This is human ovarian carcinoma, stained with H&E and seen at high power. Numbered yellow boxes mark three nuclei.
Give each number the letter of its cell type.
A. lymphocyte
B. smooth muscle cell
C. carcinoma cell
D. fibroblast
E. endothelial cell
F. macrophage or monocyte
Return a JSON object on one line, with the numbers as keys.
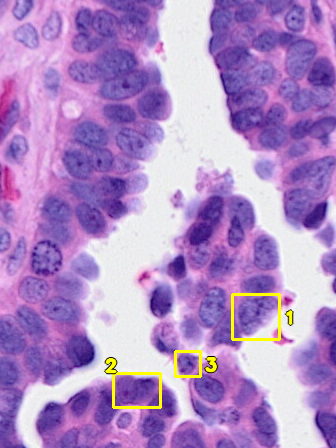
{"1": "C", "2": "C", "3": "F"}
